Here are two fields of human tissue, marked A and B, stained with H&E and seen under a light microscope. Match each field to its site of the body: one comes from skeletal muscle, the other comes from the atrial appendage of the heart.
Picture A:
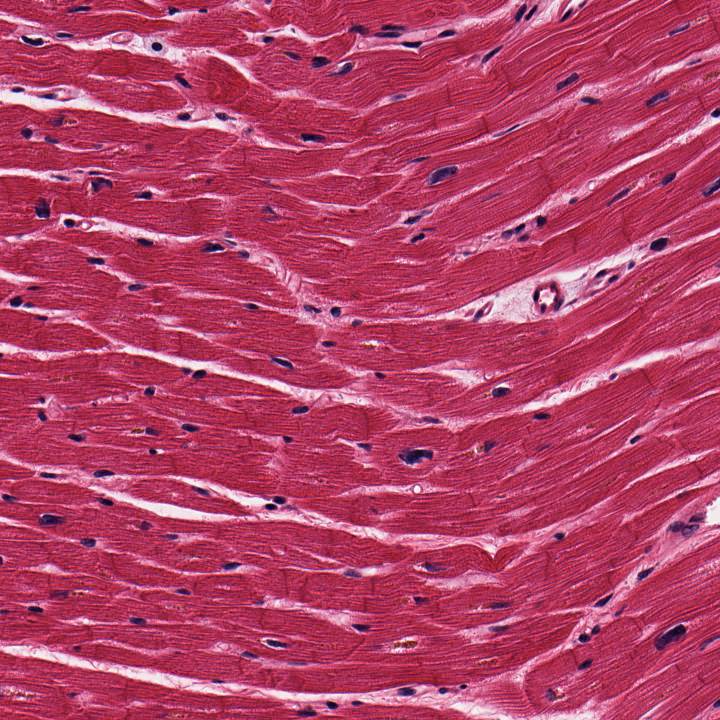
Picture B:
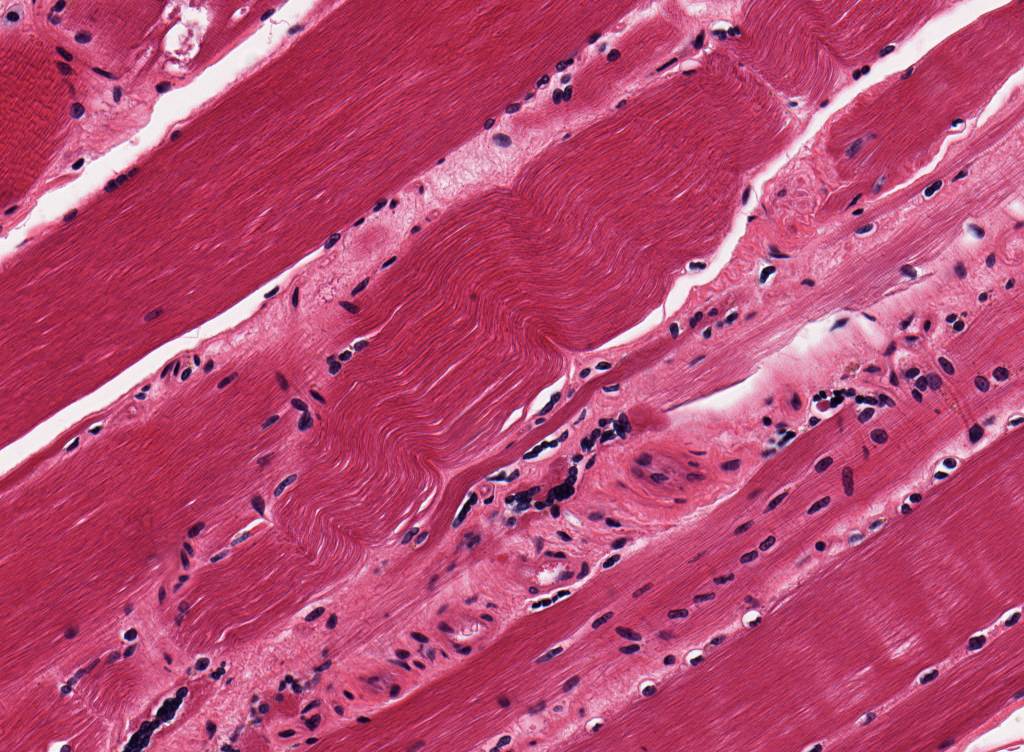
A: atrial appendage of the heart
B: skeletal muscle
